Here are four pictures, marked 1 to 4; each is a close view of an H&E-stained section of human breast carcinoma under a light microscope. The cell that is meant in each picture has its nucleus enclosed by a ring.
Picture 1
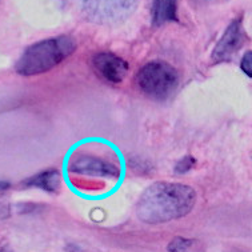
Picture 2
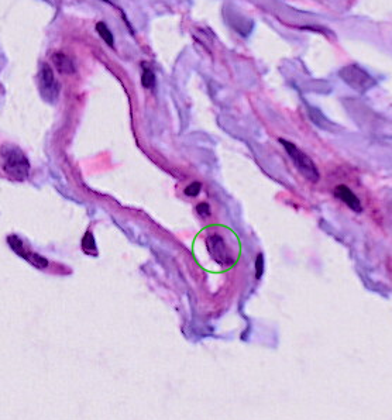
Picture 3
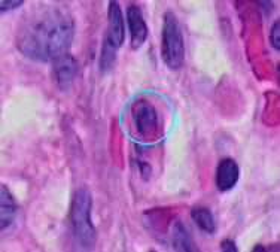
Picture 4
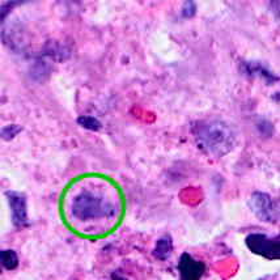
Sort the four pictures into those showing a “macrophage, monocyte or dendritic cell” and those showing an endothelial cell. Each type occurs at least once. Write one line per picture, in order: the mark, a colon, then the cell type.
1: endothelial cell
2: endothelial cell
3: endothelial cell
4: macrophage, monocyte or dendritic cell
